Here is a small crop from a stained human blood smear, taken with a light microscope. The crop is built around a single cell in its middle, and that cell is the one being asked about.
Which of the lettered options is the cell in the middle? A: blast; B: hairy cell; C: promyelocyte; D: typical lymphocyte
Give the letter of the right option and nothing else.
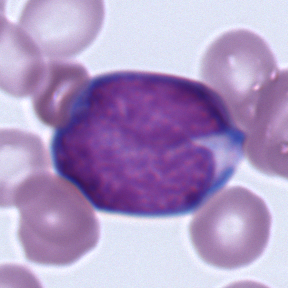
A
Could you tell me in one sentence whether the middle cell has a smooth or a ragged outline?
Edge check done: smooth outline, no projections present.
